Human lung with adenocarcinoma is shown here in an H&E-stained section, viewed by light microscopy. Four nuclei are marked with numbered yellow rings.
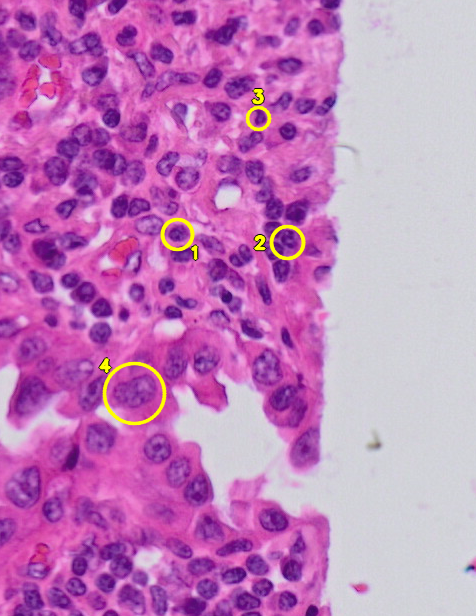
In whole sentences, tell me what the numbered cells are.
Cells 1, 2 and 3 are lymphocytes. Cell 4 is a carcinoma cell.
